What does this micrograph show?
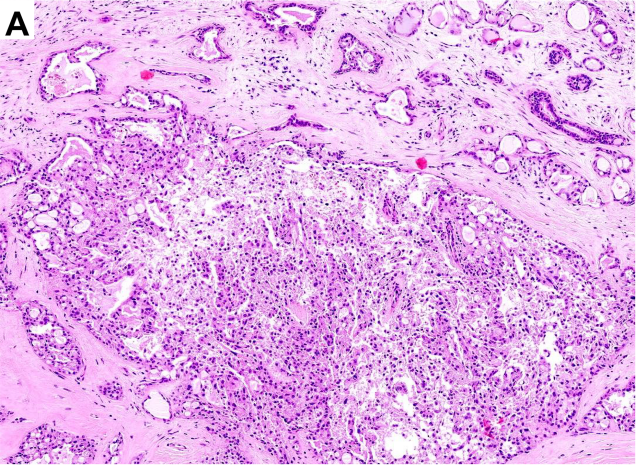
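Pink-stained section of a carcinoma in which a large solid nest of tumour cells with small round nuclei and pale cytoplasm lies in dense pink fibrous stroma. The nest is riddled with small spaces and clefts, while above it lie rounded duct-like structures and small glands with microcysts holding pale pink secretion, and smaller tumour nests sit in the surrounding stroma.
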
